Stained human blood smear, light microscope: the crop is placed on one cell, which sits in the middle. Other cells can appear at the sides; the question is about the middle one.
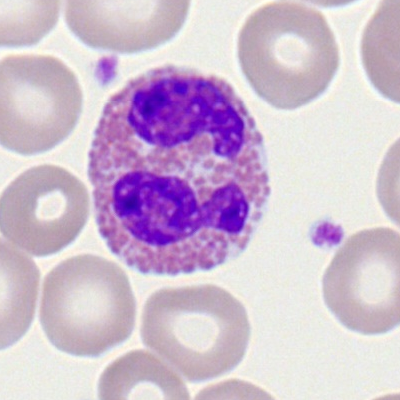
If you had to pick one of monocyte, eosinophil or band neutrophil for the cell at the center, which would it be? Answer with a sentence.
Standing at the centre of this crop is an eosinophil.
